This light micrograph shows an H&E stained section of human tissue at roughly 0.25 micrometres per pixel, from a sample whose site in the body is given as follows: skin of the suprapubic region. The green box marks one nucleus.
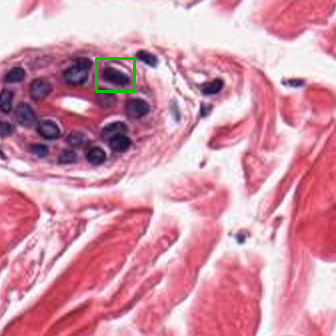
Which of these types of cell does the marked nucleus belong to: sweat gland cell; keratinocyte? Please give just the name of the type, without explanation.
sweat gland cell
